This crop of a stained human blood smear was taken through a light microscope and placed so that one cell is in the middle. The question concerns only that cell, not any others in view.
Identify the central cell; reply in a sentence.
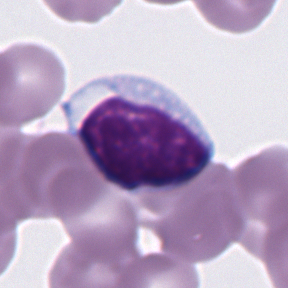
The cell around which this crop is centred is a typical lymphocyte.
